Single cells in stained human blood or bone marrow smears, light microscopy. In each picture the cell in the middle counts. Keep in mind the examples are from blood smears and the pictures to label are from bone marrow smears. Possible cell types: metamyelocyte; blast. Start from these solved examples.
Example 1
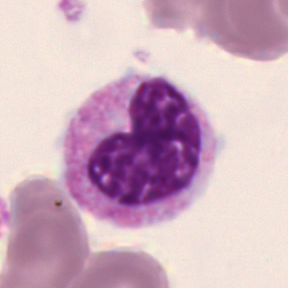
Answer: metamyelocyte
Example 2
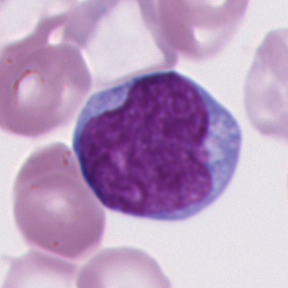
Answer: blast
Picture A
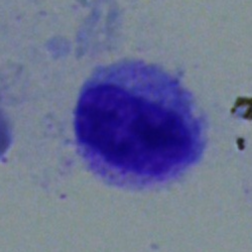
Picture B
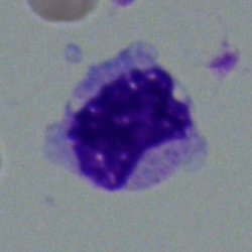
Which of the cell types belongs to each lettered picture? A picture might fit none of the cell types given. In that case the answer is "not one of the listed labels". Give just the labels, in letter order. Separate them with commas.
metamyelocyte, metamyelocyte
